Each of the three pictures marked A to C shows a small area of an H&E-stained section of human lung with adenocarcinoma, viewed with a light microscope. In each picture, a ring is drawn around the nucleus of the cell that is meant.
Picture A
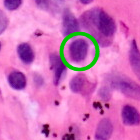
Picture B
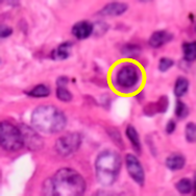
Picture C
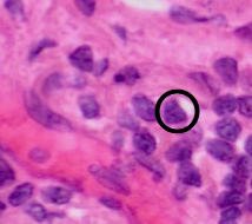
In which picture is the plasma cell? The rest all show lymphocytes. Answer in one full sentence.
Picture B is the one that shows the plasma cell.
